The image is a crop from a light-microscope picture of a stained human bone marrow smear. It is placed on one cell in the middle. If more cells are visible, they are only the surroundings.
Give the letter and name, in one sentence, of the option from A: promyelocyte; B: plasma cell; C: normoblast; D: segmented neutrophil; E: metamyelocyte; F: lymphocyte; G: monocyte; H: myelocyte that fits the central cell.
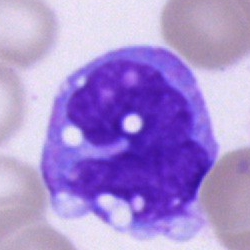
The cell occupying the centre is a monocyte; option G is thus the correct choice.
